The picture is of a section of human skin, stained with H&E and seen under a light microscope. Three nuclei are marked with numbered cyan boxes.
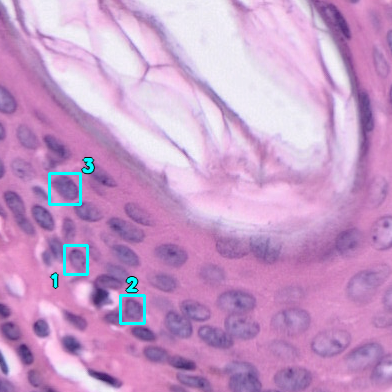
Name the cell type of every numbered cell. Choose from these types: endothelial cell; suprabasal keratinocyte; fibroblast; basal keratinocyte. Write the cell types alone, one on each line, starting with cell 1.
basal keratinocyte
basal keratinocyte
suprabasal keratinocyte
